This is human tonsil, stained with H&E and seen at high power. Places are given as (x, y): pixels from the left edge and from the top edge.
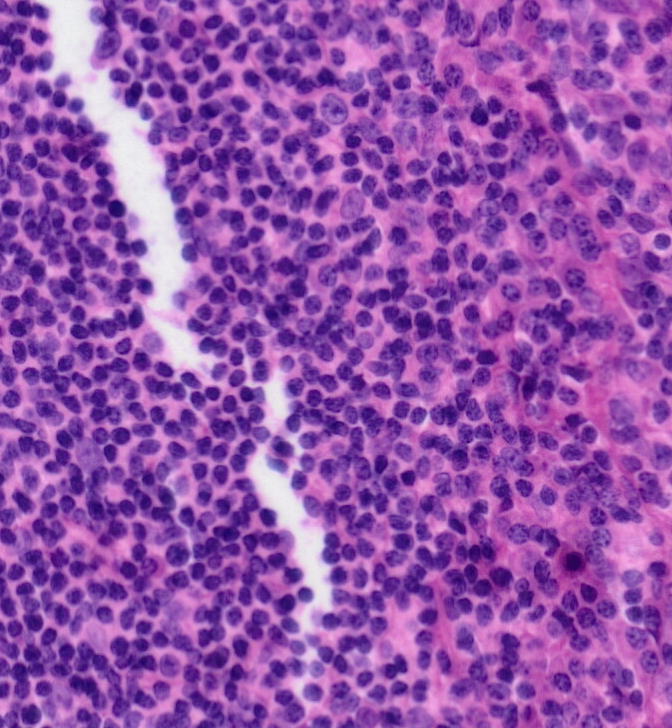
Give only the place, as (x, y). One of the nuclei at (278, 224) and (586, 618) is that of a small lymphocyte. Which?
(278, 224)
